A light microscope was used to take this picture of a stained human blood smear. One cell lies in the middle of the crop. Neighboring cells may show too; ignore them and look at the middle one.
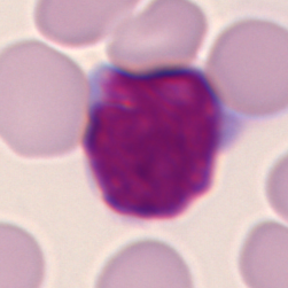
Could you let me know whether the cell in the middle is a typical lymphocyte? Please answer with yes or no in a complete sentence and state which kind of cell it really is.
Yes, the crop's central cell is a typical lymphocyte.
